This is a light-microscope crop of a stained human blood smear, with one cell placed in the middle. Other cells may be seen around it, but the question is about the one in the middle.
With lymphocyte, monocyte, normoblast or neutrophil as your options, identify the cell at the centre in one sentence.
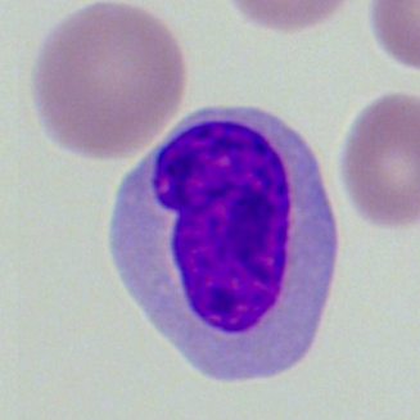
Located at the centre of the crop is a normoblast.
